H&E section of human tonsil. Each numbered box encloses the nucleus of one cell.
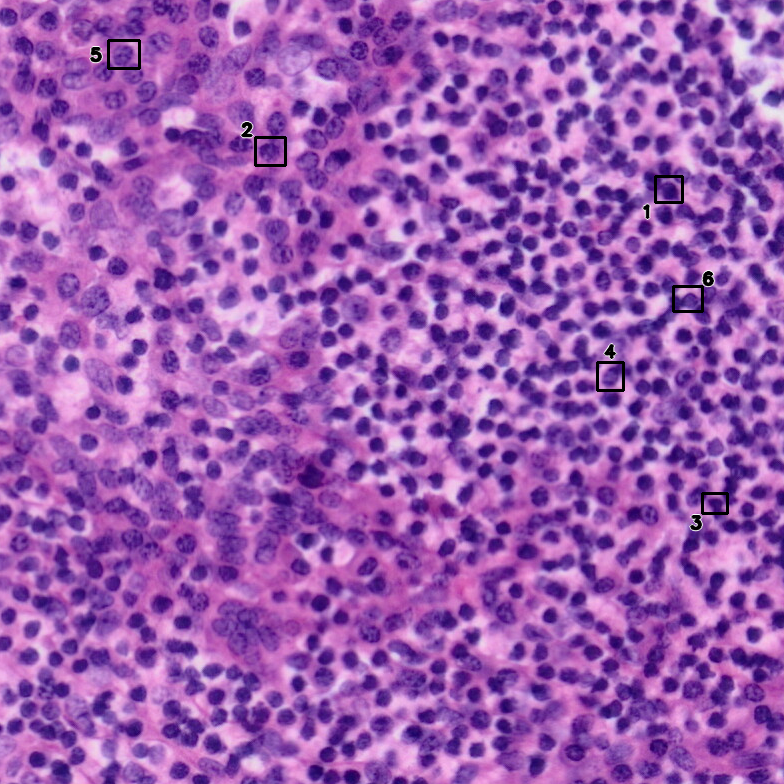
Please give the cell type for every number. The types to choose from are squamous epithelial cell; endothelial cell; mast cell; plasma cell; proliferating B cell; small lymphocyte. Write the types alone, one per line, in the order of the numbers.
small lymphocyte
plasma cell
small lymphocyte
small lymphocyte
plasma cell
small lymphocyte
